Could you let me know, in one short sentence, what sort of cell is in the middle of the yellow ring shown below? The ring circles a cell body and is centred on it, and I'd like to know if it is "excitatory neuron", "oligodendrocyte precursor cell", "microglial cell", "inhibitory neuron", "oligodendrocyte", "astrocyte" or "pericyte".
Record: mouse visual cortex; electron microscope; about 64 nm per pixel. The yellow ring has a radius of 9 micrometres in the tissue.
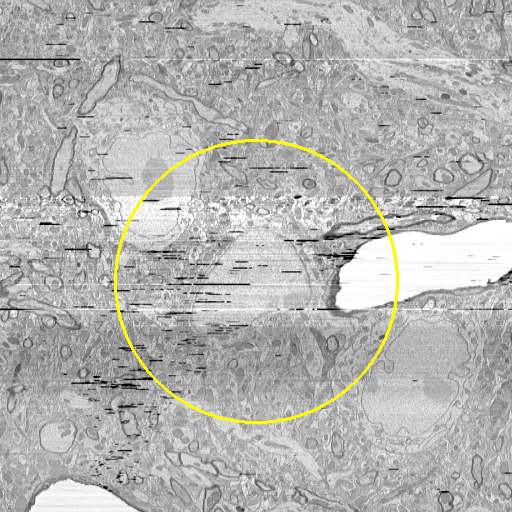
The ring circles the cell body of an astrocyte.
